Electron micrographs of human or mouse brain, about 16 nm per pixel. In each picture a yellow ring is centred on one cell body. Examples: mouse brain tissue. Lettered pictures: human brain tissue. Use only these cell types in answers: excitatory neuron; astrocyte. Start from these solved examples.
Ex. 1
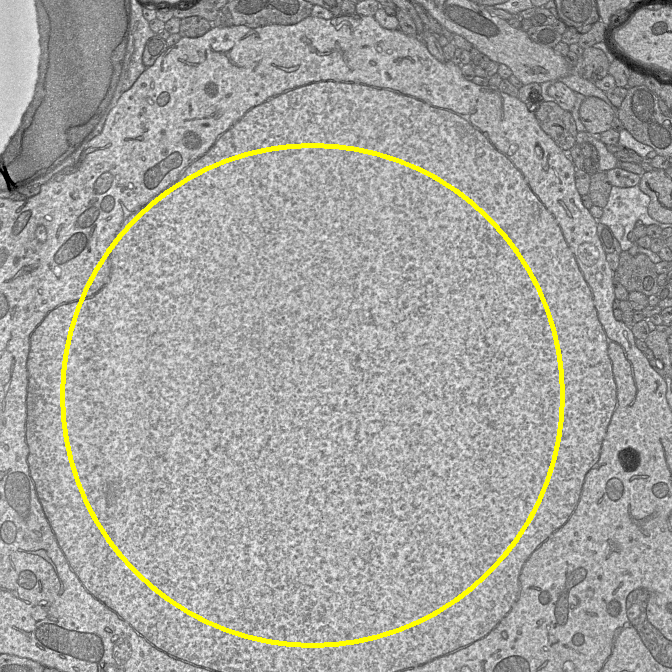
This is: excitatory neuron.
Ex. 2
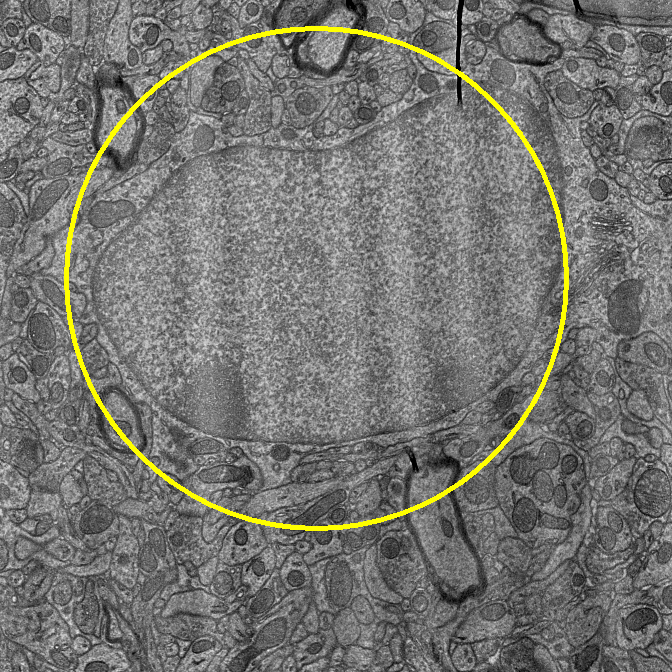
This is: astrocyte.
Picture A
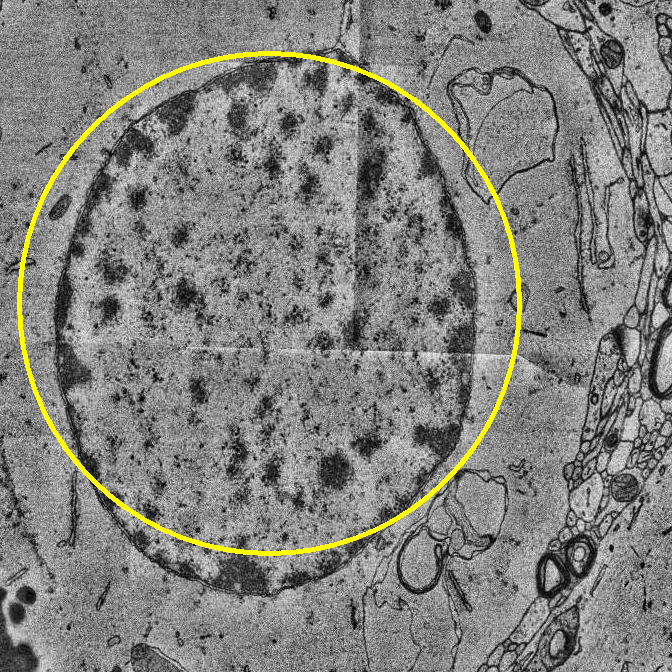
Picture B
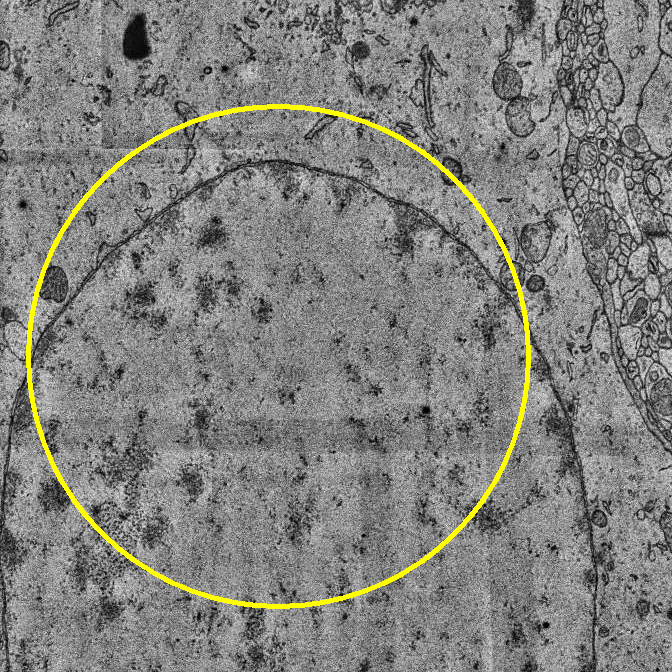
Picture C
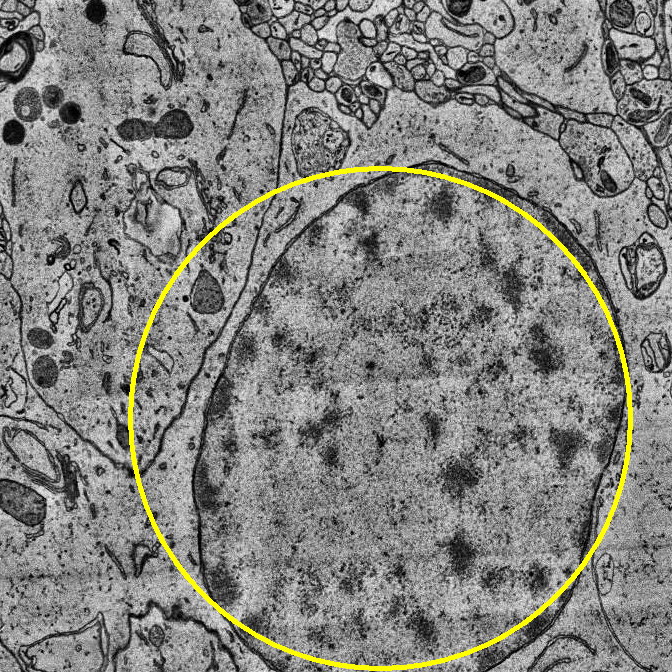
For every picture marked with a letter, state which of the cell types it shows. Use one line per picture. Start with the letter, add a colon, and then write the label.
A: astrocyte.
B: excitatory neuron.
C: astrocyte.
